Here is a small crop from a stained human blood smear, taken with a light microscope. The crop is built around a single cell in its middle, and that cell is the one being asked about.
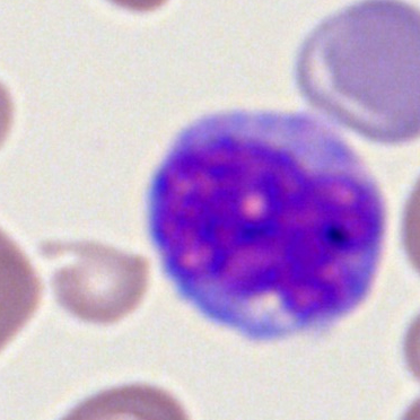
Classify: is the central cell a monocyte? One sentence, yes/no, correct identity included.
Yes, the central element of the crop is a monocyte.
